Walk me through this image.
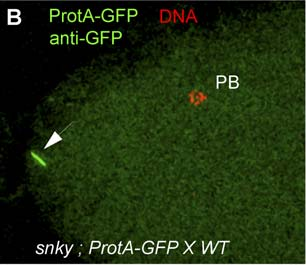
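Part of a fertilized egg seen by confocal fluorescence, with the sperm nucleus at the egg's edge. The egg cytoplasm fills most of the field with a faint, finely granular green haze. At the left margin lies a single thin, straight, bright green needle-shaped body, the sperm nucleus, which has not swollen or rounded up.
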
